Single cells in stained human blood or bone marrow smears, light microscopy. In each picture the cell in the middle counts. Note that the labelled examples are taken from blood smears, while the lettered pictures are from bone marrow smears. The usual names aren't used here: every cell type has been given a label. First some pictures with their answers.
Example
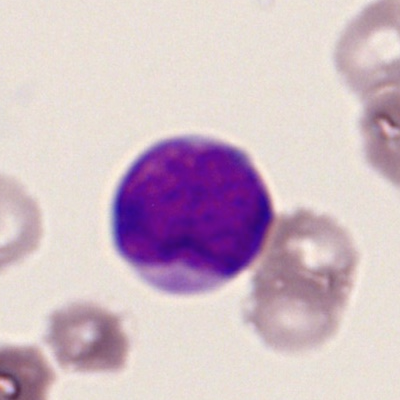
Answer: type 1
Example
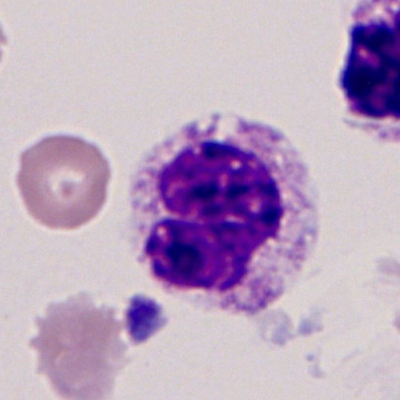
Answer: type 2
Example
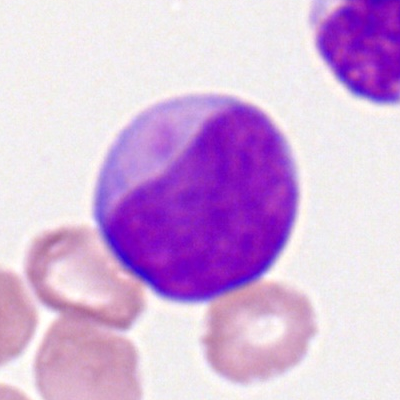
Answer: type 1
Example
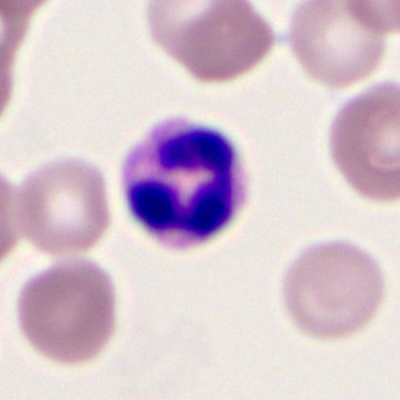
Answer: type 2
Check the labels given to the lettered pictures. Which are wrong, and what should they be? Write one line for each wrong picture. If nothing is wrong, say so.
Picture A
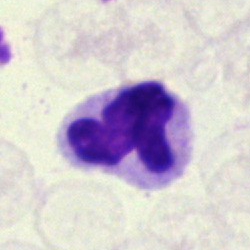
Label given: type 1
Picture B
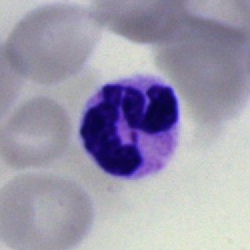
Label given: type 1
A: not type 1 but type 2
B: not type 1 but type 2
